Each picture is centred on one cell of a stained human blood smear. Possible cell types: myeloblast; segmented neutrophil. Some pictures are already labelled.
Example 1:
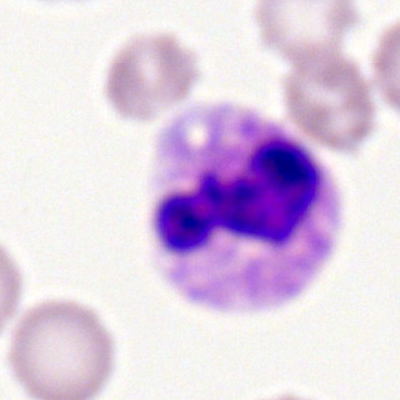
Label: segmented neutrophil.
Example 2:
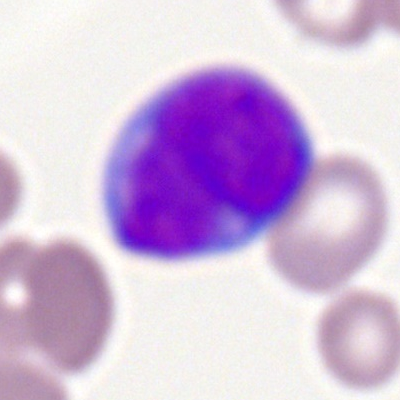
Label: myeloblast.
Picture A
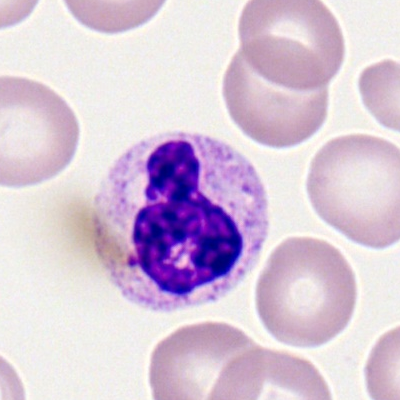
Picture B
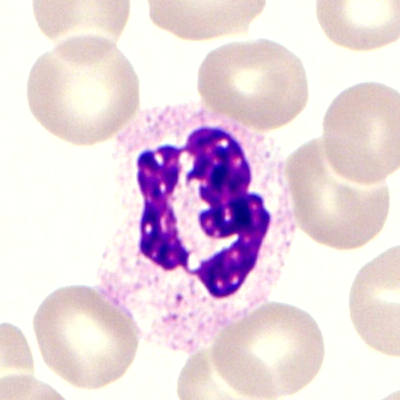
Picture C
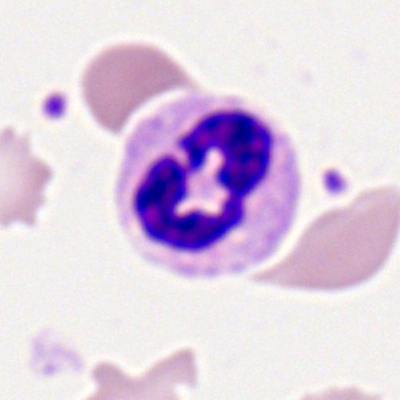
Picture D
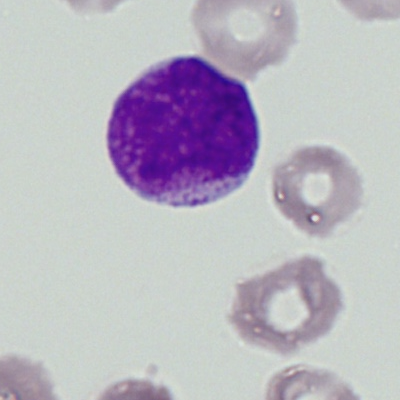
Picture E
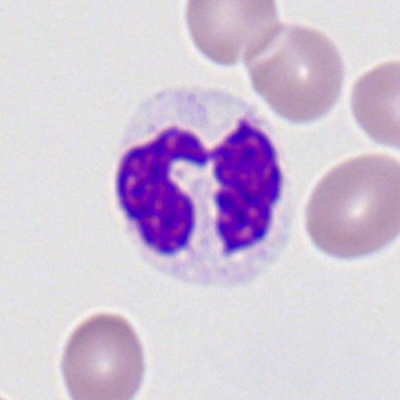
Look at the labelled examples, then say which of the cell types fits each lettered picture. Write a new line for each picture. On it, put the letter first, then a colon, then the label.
A: segmented neutrophil.
B: segmented neutrophil.
C: segmented neutrophil.
D: myeloblast.
E: segmented neutrophil.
